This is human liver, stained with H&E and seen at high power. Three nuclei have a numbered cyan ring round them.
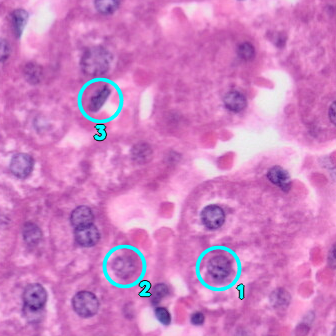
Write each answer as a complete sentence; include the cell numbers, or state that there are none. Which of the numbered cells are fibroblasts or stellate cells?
All of the numbered cells are cells other than fibroblasts or stellate cells.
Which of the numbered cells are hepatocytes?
The cells that the numbers 1 and 2 belong to are hepatocytes.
